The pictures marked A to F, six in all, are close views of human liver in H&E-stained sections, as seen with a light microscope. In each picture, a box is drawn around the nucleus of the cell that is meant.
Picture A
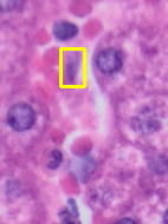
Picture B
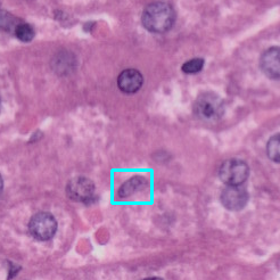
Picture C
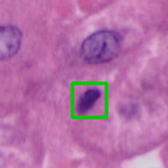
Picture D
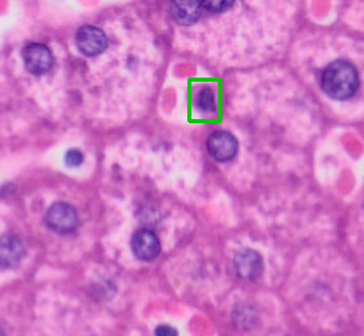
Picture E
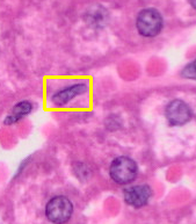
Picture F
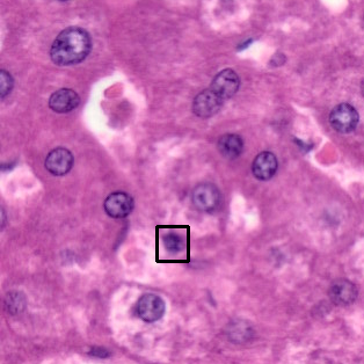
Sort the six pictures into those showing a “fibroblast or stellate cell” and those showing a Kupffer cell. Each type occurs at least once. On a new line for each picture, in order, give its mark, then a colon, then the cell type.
A: Kupffer cell
B: Kupffer cell
C: fibroblast or stellate cell
D: Kupffer cell
E: fibroblast or stellate cell
F: fibroblast or stellate cell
